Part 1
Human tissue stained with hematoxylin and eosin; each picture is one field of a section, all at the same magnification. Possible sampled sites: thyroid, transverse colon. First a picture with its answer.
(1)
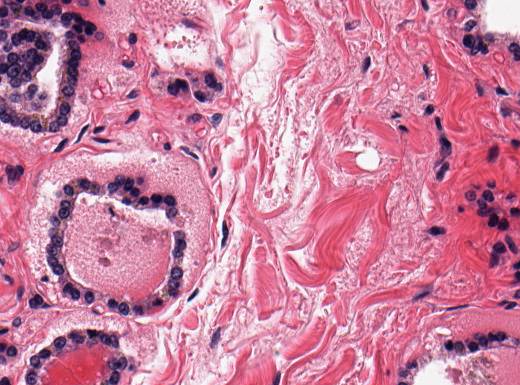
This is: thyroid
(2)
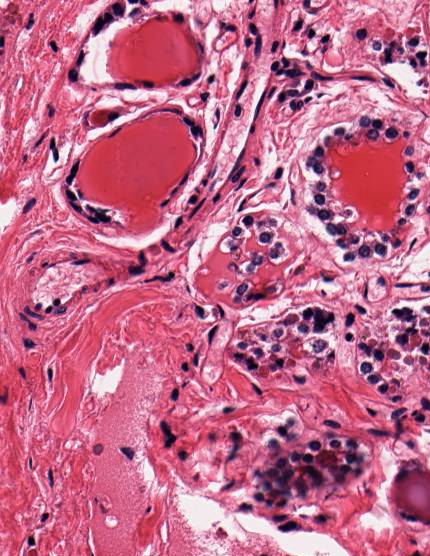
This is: thyroid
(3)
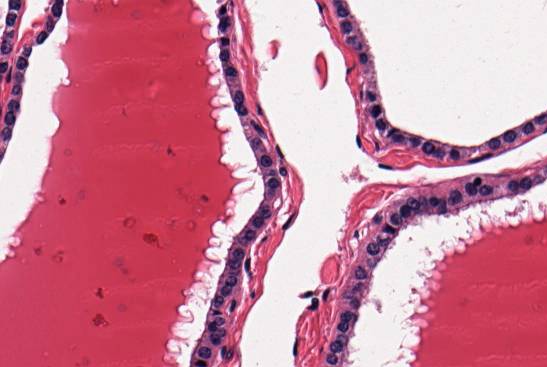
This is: thyroid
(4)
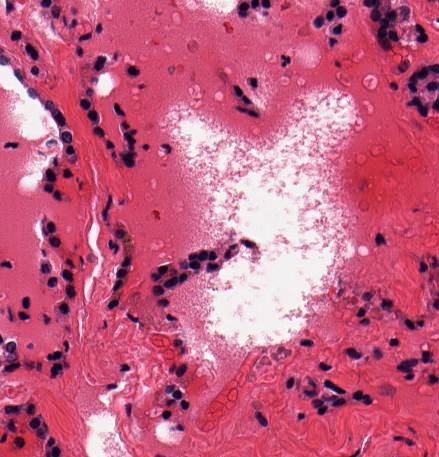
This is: thyroid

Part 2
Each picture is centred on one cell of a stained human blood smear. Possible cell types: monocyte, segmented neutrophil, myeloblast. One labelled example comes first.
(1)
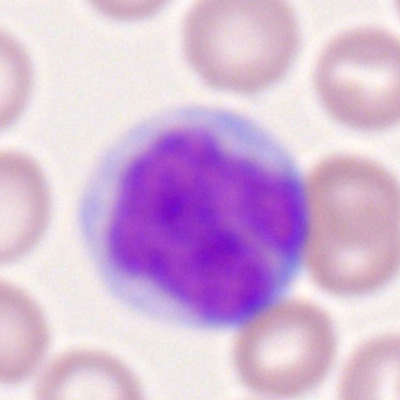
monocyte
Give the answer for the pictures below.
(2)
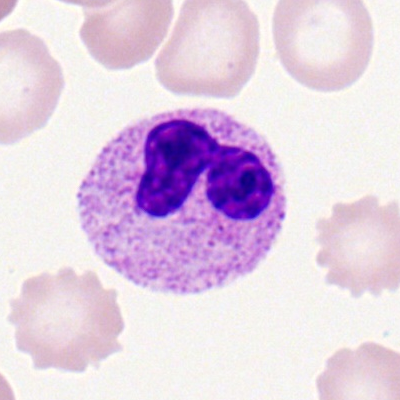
segmented neutrophil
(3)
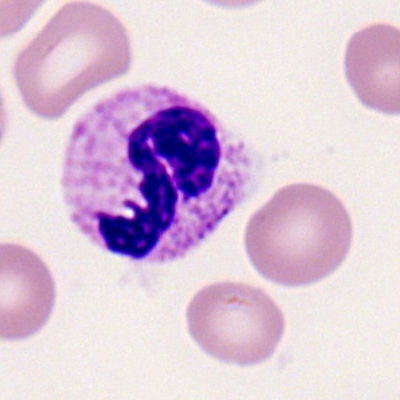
segmented neutrophil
